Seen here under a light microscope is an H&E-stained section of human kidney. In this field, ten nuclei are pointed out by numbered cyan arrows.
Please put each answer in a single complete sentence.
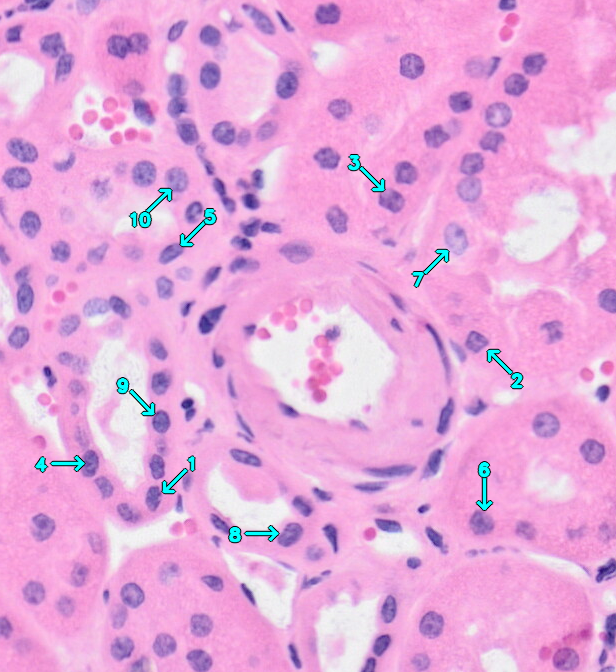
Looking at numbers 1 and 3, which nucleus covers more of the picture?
Number 3 is larger; its area is about 1.5 times that of number 1.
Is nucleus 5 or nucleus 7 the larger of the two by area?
Number 7 is larger; its area is about 1.5 times that of number 5.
